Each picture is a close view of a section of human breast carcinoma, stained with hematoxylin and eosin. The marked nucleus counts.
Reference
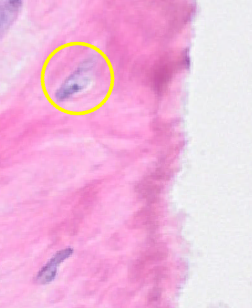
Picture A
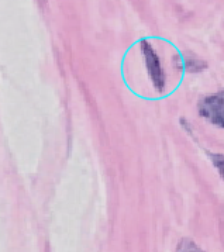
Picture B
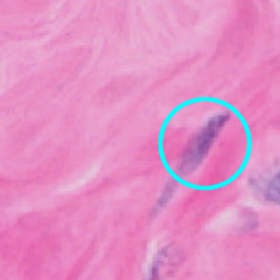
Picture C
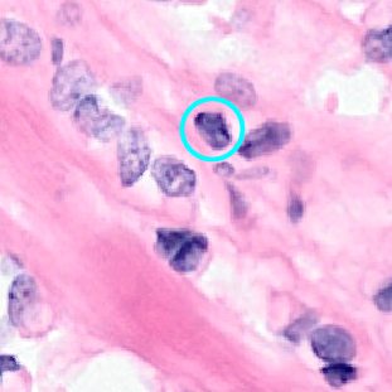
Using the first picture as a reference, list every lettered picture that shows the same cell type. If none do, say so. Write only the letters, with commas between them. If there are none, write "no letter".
A, B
